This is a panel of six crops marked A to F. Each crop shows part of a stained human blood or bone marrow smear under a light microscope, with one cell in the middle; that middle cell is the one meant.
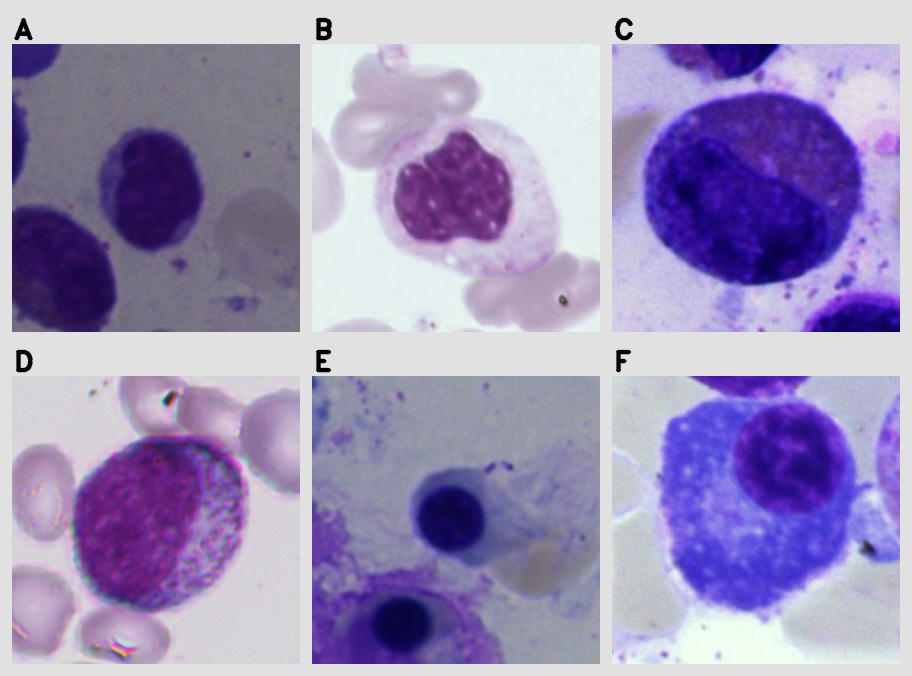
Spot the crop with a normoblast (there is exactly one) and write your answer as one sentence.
Crop E is the correct crop, and it shows a normoblast.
